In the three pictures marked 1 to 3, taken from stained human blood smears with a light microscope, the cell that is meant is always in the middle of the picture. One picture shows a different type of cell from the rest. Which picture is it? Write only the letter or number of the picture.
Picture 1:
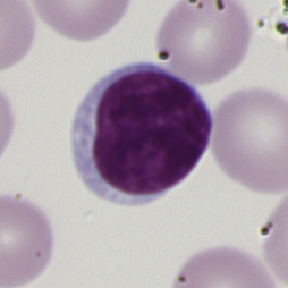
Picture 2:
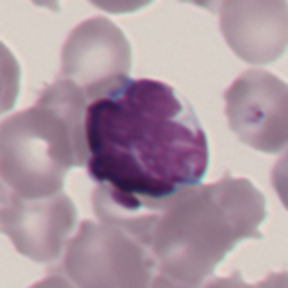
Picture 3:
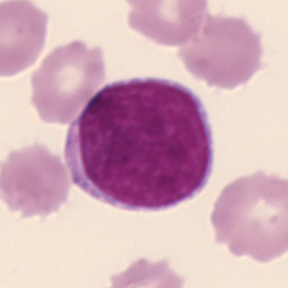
3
